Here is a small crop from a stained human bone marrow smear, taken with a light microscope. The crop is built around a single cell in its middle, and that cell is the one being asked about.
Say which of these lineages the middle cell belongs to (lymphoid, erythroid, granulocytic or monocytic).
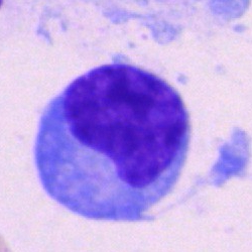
lymphoid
